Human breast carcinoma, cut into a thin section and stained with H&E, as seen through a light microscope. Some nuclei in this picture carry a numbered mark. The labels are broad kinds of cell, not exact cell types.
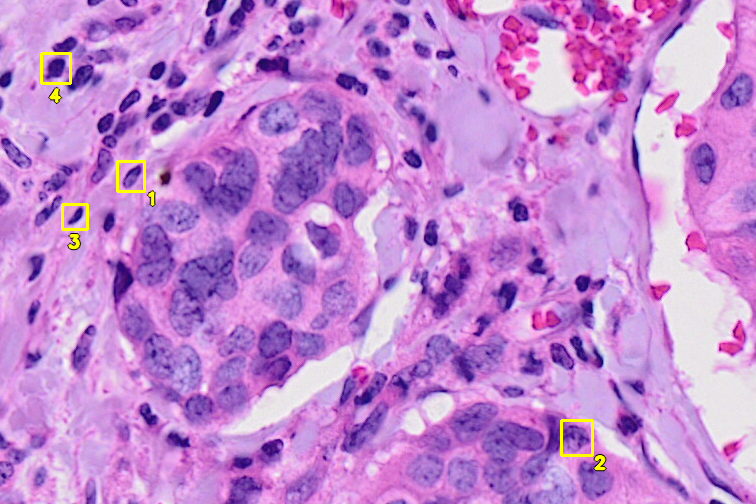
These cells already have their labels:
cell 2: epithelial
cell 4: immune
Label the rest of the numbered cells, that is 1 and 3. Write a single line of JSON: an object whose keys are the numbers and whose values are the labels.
{"1": "immune", "3": "immune"}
